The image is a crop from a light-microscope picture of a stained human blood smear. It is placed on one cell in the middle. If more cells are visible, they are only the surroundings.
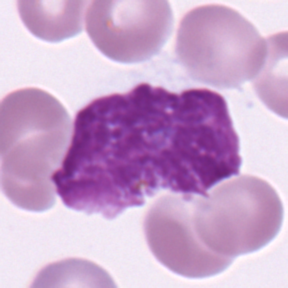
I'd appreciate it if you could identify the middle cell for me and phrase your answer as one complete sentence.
The cell at the heart of this crop is a smudge cell.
